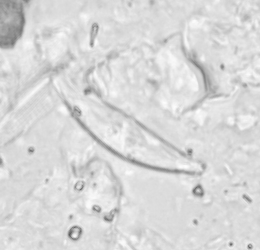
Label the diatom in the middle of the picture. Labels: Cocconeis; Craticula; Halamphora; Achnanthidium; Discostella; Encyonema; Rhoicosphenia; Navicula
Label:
Halamphora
